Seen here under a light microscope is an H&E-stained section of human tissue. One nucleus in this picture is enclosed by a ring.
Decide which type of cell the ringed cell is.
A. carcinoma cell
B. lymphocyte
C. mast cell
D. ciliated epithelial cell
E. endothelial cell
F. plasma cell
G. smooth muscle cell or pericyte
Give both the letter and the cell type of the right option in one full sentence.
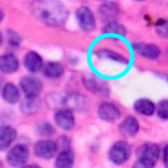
Option E is the correct one, since the ringed cell is an endothelial cell.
